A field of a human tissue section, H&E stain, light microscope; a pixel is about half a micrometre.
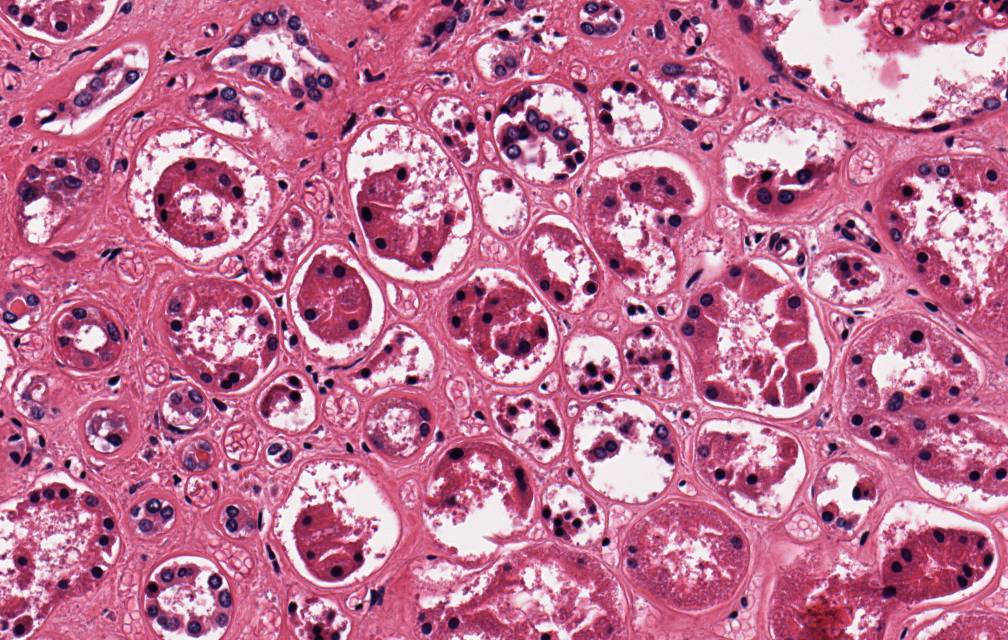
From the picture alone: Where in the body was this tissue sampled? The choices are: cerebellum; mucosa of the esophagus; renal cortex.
renal cortex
